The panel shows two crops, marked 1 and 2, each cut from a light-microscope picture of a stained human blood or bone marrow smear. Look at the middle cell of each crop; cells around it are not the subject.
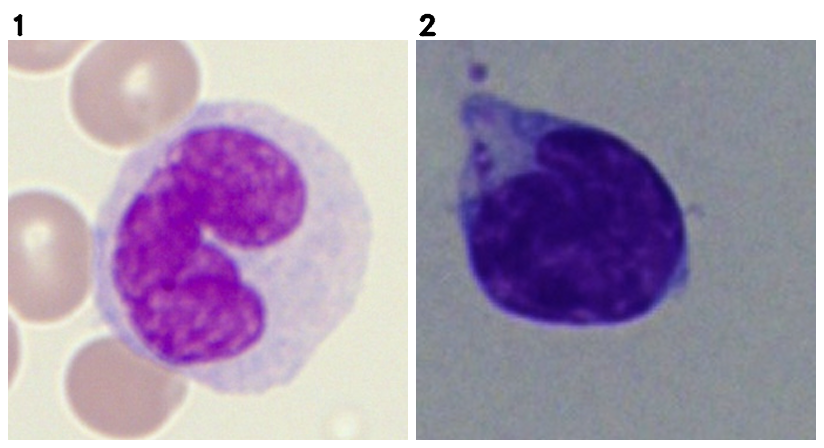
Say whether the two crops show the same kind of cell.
no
